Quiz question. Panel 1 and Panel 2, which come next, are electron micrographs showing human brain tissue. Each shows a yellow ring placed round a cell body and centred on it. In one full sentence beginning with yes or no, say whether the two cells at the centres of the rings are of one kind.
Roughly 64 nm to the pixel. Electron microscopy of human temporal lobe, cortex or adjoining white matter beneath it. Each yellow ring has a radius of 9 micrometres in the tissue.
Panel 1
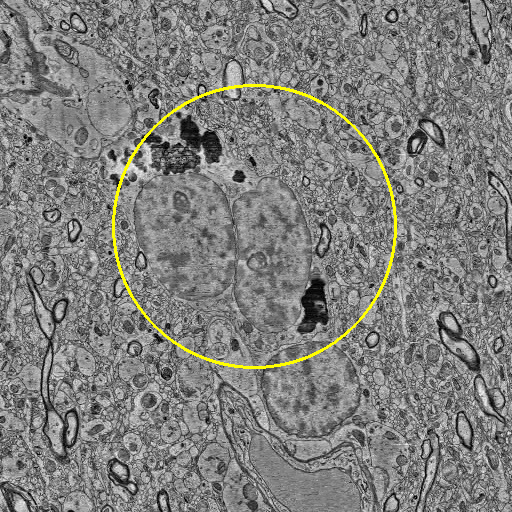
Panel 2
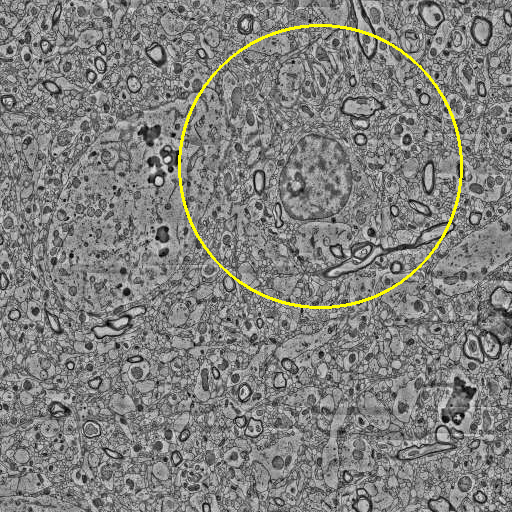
Yes, Panel 1 and Panel 2 show one kind of cell at the centre of the ring.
